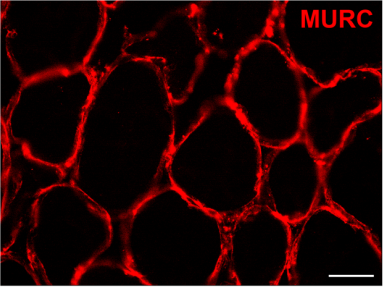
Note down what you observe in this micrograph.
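A cross-section of skeletal muscle shows myofibers cut transversely as large, closely packed polygonal profiles. Each fiber is outlined by a bright red rim at its border, while the fiber interiors are dark and nearly free of signal. Neighbouring fibers share thin borders, and the red outlines form a continuous honeycomb-like network across the field. Some borders appear thicker and slightly frayed where several fibers meet at corners.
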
